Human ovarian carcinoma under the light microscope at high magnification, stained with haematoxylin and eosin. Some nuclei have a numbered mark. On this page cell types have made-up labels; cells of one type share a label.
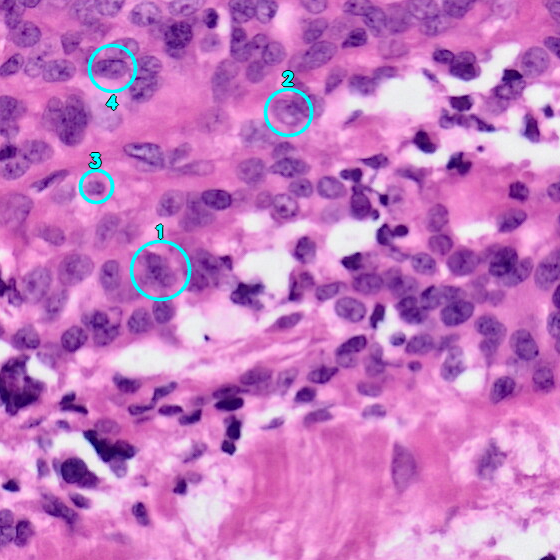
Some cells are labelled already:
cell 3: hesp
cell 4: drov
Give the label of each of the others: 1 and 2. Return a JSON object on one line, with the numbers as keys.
{"1": "drov", "2": "drov"}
